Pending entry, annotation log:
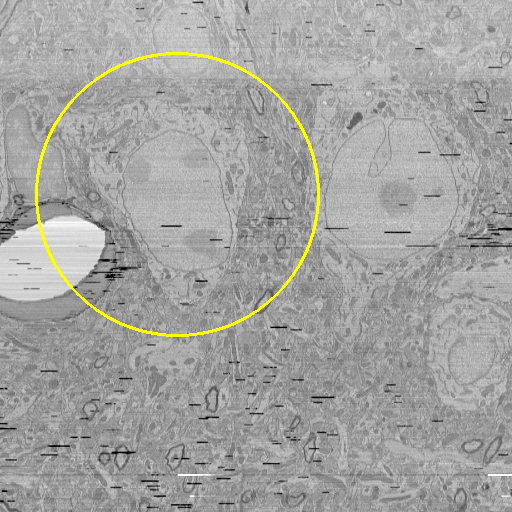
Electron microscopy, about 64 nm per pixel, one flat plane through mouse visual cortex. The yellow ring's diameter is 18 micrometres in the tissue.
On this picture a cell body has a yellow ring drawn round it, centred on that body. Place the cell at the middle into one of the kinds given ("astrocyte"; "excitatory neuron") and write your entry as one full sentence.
The cell body at the middle of the yellow ring belongs to an excitatory neuron.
